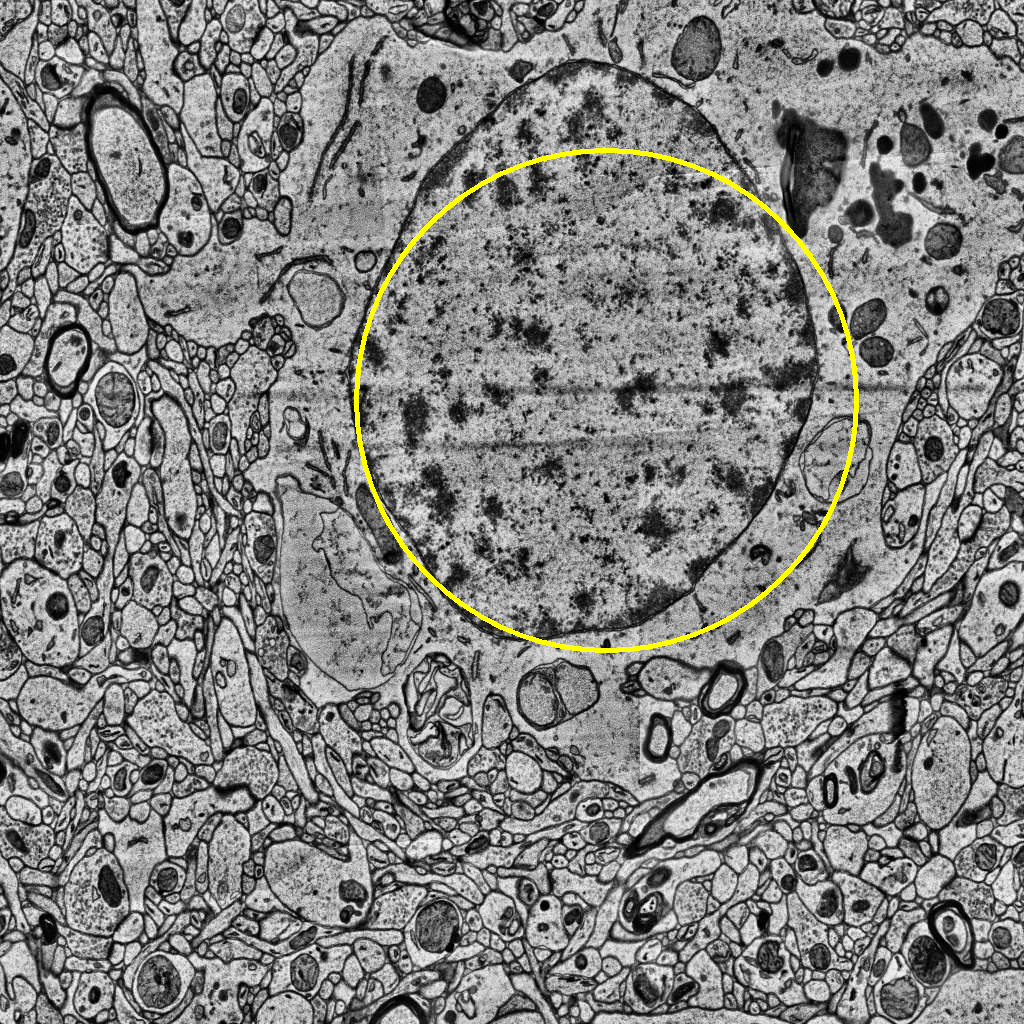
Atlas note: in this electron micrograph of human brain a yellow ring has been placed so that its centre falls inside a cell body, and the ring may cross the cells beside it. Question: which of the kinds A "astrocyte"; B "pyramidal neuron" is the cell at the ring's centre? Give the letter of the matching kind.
A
